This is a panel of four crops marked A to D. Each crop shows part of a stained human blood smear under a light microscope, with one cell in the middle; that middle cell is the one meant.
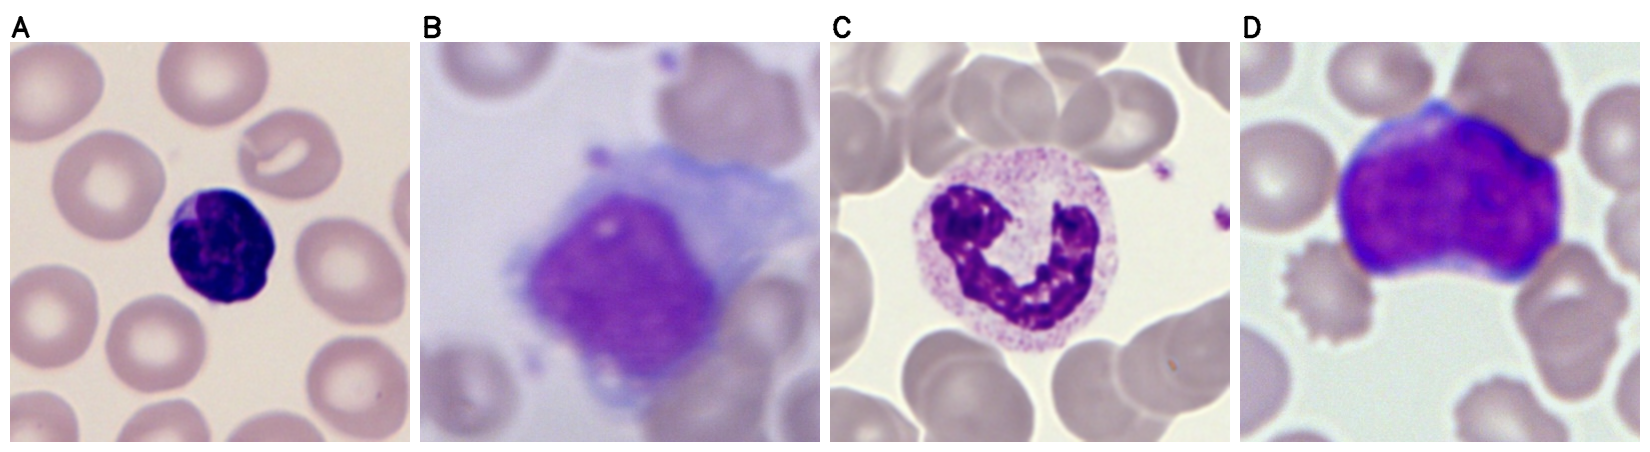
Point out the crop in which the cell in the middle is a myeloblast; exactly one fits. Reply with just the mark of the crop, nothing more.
D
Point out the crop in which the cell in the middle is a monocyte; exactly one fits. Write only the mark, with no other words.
B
